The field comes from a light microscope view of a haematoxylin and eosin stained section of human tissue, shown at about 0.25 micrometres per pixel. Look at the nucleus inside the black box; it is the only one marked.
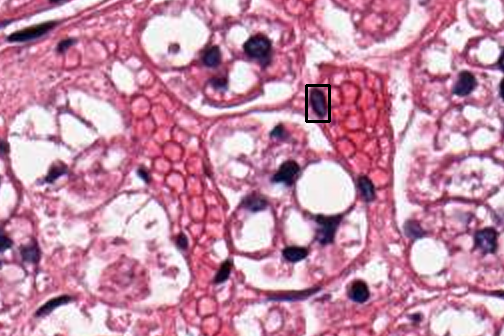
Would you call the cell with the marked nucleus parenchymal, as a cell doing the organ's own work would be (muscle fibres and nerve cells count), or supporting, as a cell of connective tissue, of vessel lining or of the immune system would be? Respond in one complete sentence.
Within this section, the marked nucleus belongs to a supporting cell.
